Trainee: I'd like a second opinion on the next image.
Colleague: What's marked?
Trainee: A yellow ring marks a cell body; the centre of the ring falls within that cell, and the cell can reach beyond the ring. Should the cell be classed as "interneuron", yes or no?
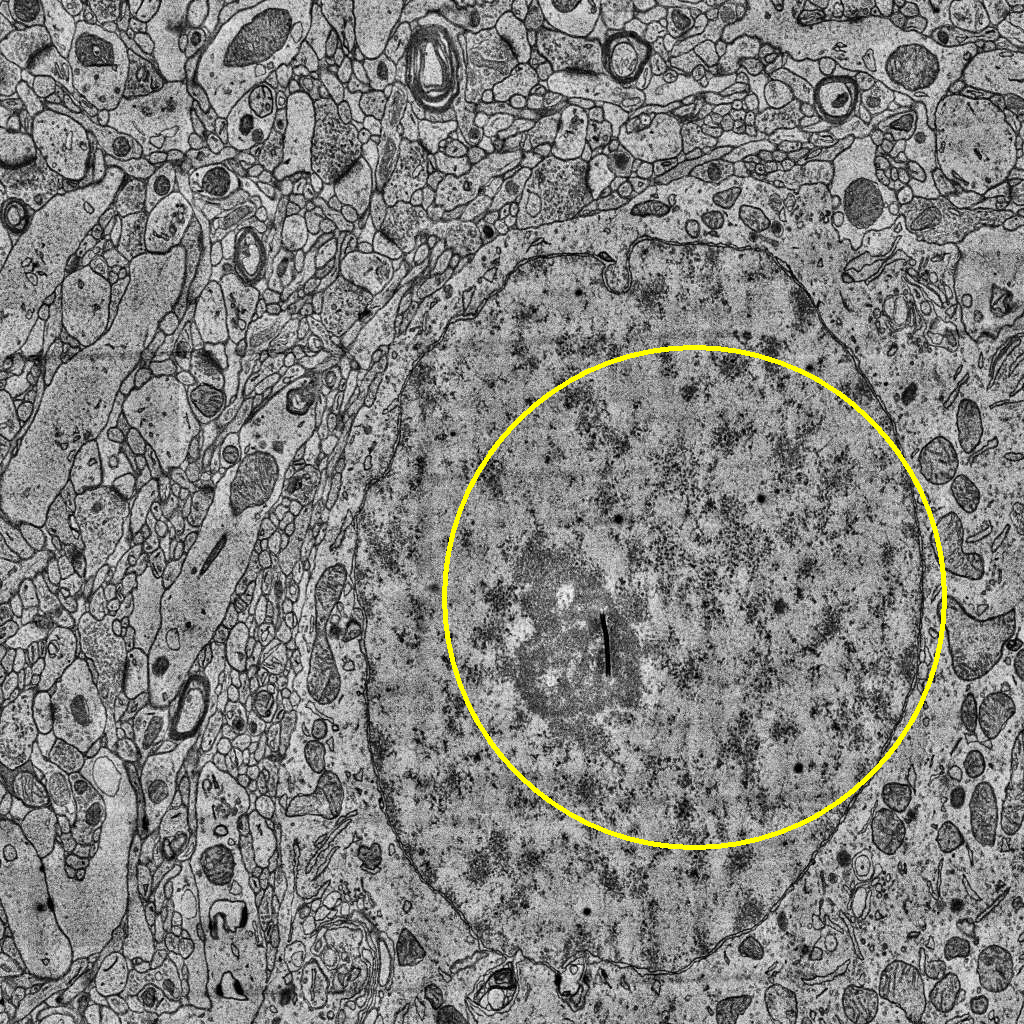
Yes, it should.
